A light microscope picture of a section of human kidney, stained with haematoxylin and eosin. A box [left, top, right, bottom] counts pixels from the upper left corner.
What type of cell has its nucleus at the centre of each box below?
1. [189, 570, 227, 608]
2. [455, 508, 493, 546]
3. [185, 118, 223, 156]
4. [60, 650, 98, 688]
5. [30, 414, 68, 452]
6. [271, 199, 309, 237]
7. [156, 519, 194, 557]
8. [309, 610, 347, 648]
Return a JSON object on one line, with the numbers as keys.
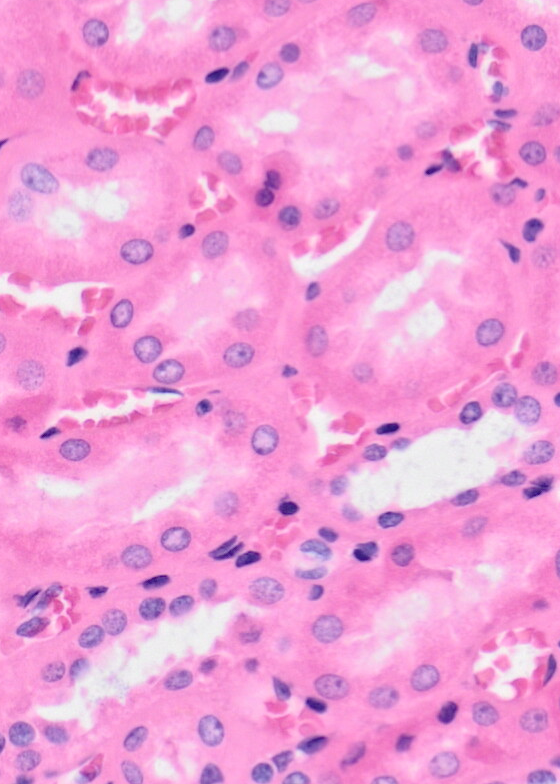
{"1": "loop of Henle or distal tubule cell", "2": "proximal tubule cell", "3": "proximal tubule cell", "4": "loop of Henle or distal tubule cell", "5": "endothelial cell", "6": "proximal tubule cell", "7": "proximal tubule cell", "8": "proximal tubule cell"}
